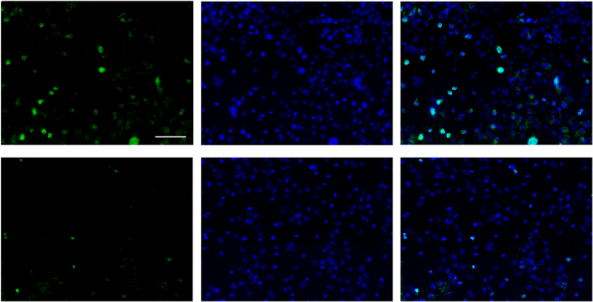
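In the blue channel many small, round to oval nuclei are scattered fairly evenly across the field, with no tissue architecture. In the green channel only a subset of nuclei is labelled, appearing as bright, rounded spots. In the merged images the green spots coincide with blue nuclei and appear cyan.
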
